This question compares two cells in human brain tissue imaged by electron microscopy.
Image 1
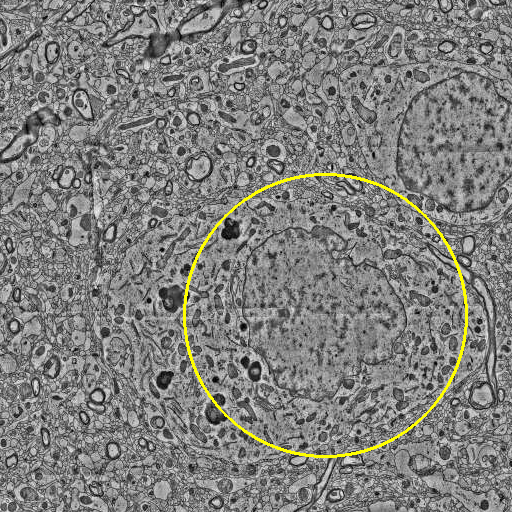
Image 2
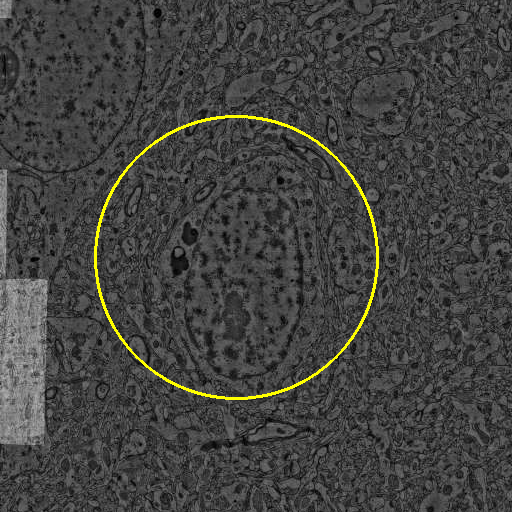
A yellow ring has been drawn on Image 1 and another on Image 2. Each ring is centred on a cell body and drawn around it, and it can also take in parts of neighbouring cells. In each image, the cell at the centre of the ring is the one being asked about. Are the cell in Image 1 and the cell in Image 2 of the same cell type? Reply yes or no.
yes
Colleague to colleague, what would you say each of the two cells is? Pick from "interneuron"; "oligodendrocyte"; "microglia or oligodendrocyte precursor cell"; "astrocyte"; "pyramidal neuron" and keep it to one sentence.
Each of the two rings is centred on an interneuron.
